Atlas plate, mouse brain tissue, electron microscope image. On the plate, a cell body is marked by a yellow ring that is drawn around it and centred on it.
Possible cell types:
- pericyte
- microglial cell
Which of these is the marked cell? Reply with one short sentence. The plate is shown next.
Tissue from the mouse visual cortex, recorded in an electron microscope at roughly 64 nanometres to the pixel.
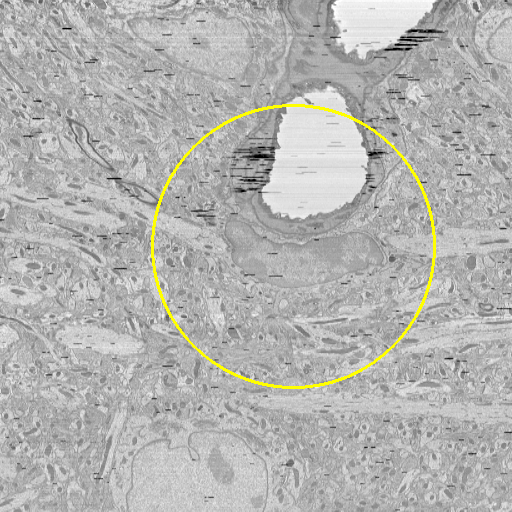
The marked cell is a microglial cell.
